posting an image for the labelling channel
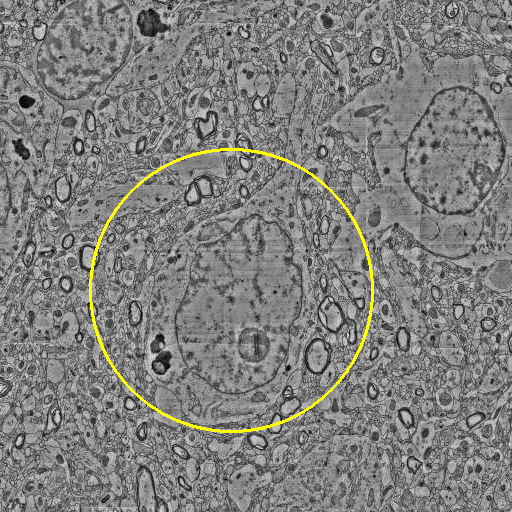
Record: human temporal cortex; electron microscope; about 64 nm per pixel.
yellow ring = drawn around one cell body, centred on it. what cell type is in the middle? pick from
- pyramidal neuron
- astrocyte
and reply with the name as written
pyramidal neuron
